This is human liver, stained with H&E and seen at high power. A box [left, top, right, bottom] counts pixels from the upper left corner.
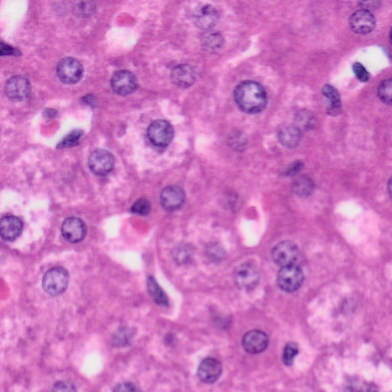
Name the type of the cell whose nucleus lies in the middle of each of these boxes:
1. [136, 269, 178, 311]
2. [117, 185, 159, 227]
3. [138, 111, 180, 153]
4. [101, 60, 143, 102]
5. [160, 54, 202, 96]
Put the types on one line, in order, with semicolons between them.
Kupffer cell; fibroblast or stellate cell; hepatocyte; hepatocyte; hepatocyte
